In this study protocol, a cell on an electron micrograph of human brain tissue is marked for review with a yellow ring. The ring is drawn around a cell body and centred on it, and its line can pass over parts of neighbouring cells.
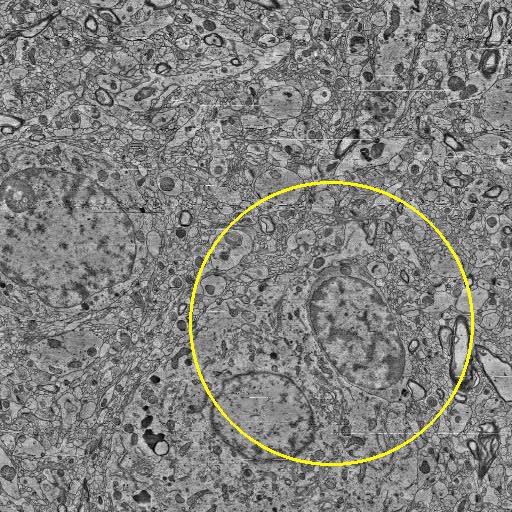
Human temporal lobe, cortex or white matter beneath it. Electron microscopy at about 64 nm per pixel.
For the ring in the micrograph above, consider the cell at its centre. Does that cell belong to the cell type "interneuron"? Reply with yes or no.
no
